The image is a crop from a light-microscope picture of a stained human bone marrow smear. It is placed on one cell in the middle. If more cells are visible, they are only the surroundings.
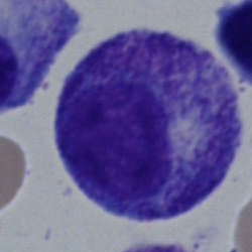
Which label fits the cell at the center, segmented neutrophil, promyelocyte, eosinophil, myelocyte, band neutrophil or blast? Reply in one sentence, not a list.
The cell in the middle of this crop is a promyelocyte.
